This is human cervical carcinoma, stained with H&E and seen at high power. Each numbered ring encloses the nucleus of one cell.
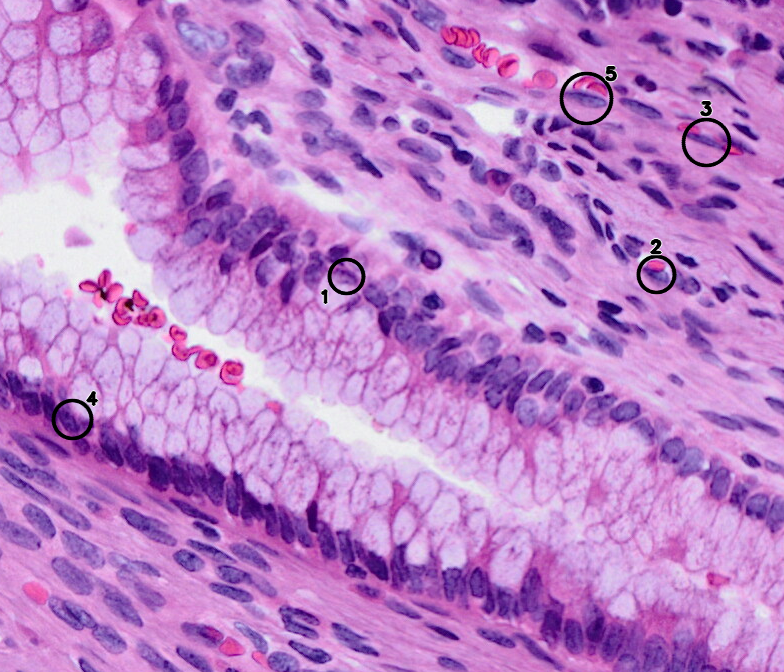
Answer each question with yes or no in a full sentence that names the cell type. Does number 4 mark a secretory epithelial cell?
Yes, the cell referred to as number 4 is a secretory epithelial cell.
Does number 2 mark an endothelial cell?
Yes, it is an endothelial cell that carries the number 2.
